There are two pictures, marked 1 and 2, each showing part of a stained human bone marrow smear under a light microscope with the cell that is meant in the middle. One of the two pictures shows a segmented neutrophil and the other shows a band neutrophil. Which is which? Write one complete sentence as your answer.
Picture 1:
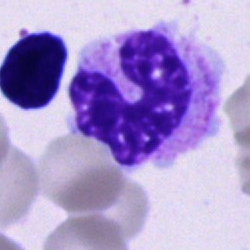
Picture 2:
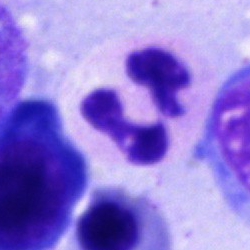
Picture 1 shows a band neutrophil and picture 2 shows a segmented neutrophil.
